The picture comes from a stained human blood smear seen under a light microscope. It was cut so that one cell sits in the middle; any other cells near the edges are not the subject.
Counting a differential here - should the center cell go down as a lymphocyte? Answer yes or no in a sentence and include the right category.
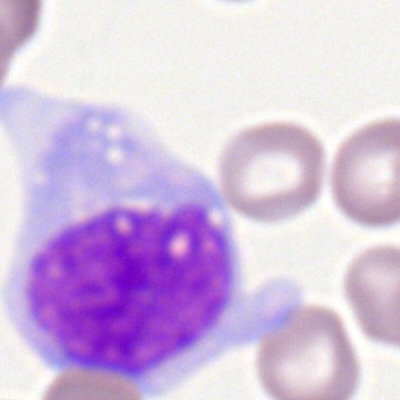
No, what is centred in the crop is not a lymphocyte but a monocyte.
